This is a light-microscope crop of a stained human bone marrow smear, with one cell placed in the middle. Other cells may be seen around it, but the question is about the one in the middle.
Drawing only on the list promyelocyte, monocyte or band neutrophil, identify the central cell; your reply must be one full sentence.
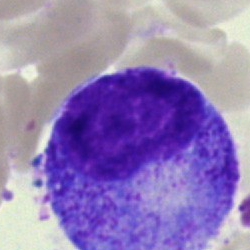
The central cell, amid any neighbouring cells, is a promyelocyte.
